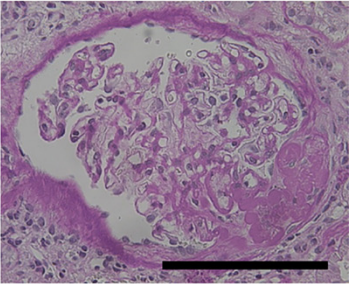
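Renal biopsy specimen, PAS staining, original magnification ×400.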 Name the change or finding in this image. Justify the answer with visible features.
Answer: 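Segmental sclerosing lesion. The glomerular tuft is pulled away to one side of a wide, empty space inside the capsule. Part of the tuft on one side is solid, homogeneous pink with no open capillary loops. The rest of the tuft still shows open capillary loops.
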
